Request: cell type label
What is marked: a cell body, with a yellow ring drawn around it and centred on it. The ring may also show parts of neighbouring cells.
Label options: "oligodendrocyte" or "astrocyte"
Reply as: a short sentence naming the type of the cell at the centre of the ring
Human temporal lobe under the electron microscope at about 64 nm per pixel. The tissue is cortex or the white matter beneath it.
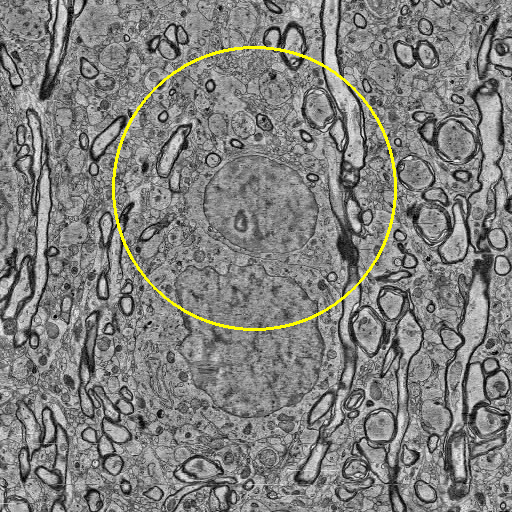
The marked cell body is that of an oligodendrocyte.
